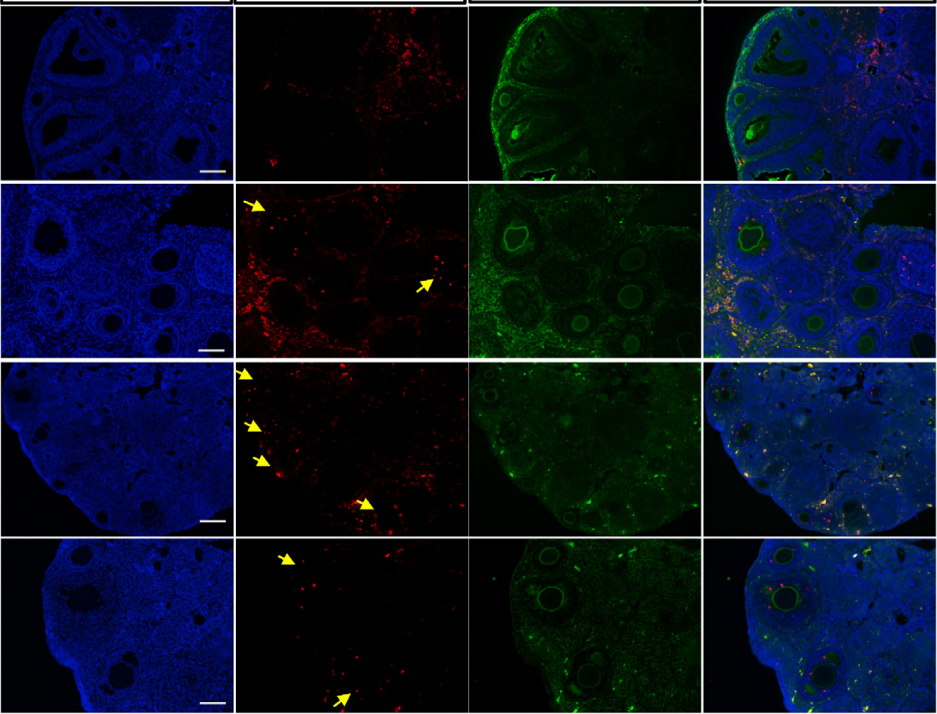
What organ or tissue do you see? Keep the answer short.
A: Ovarian tissue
